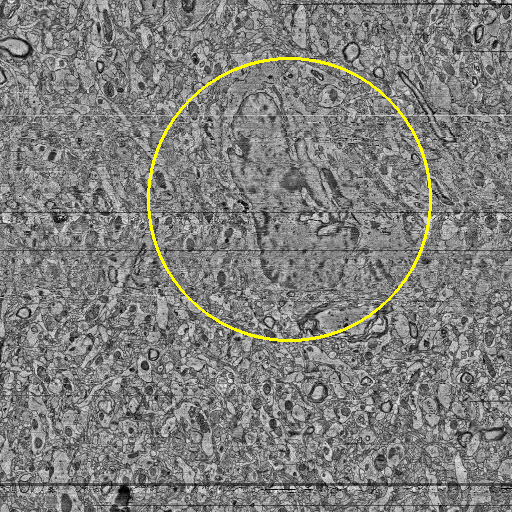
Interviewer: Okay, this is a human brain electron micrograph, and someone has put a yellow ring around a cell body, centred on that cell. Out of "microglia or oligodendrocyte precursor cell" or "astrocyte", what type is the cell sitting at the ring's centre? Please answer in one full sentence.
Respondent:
The cell at the centre of the yellow ring in this picture is a microglial cell or oligodendrocyte precursor cell.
